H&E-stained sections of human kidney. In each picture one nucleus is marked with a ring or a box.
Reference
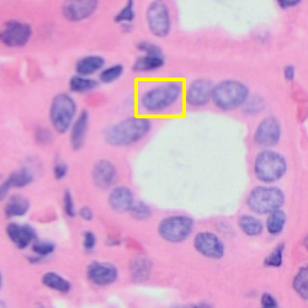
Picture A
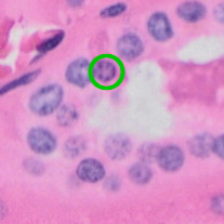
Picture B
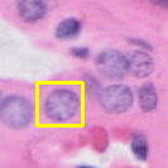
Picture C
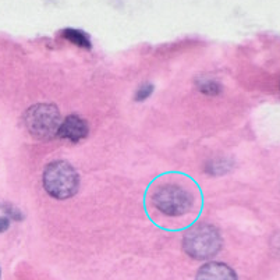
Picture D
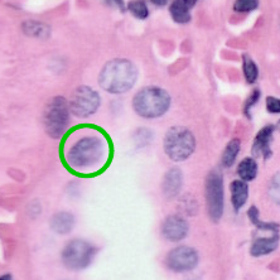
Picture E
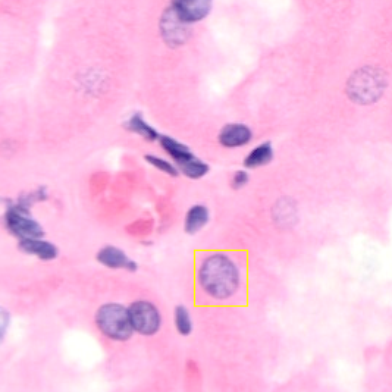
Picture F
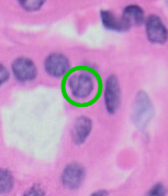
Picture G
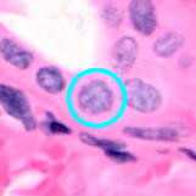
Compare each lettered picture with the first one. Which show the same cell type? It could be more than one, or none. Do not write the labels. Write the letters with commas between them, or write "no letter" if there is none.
A, B, D, F, G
